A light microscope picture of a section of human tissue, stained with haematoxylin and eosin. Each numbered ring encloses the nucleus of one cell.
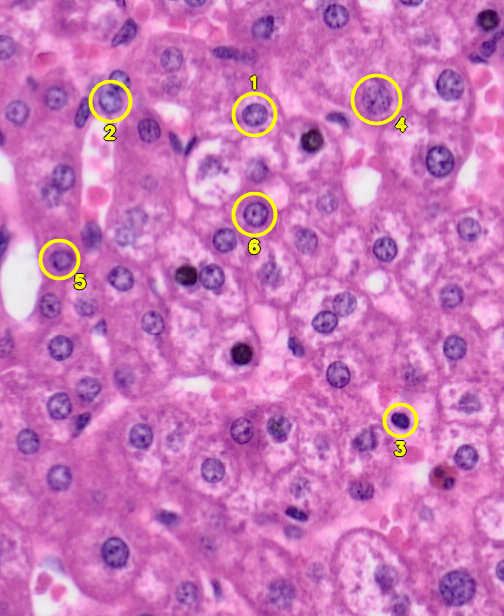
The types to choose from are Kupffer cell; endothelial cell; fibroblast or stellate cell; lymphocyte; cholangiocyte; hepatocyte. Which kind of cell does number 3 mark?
lymphocyte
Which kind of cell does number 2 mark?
cholangiocyte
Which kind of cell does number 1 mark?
hepatocyte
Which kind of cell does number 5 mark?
hepatocyte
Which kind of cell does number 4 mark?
hepatocyte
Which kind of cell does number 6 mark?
hepatocyte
